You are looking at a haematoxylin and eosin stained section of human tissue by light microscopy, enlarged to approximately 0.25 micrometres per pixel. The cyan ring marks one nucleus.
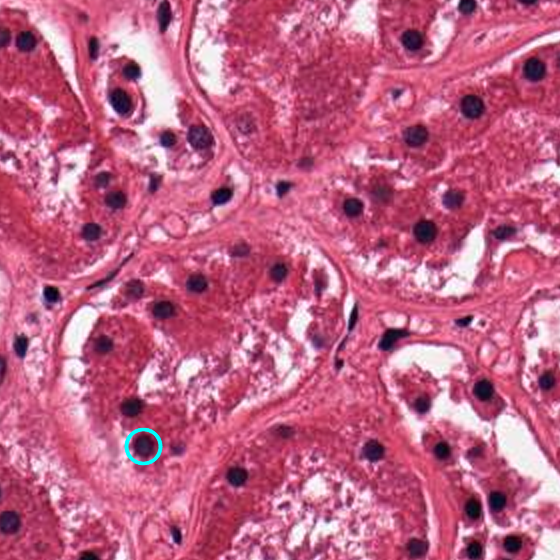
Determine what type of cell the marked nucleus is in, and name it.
proximal tubule cell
